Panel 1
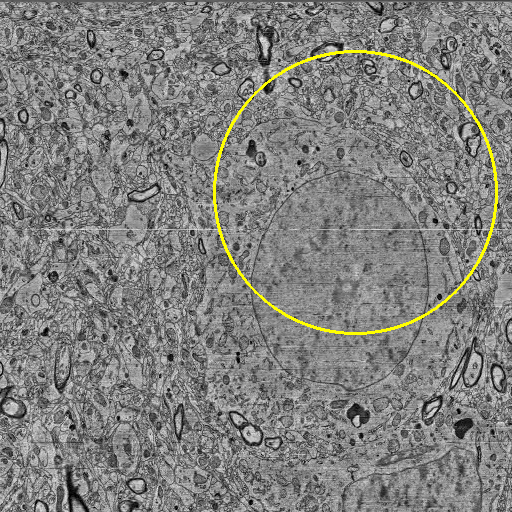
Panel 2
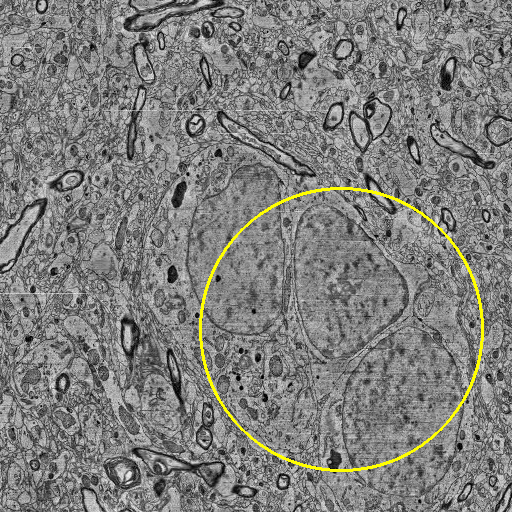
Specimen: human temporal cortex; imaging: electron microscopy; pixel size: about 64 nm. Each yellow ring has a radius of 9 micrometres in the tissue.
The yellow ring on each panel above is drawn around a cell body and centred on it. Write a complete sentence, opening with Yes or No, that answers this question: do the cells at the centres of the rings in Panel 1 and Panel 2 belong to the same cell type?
No, the two cells belong to two cell types.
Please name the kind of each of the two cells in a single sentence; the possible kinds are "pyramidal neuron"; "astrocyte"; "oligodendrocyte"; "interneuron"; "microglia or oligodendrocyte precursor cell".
In the first picture the ring is centred on a pyramidal neuron, and in the second on a microglial cell or oligodendrocyte precursor cell.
